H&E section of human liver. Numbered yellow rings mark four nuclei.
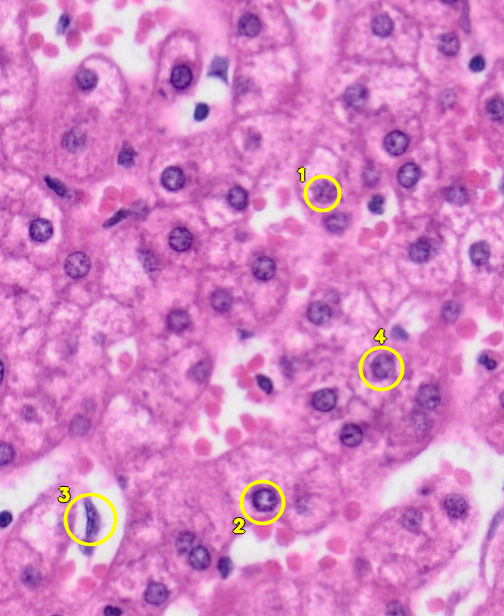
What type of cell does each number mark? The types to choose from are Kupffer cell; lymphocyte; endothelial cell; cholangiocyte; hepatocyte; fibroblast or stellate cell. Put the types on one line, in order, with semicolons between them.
hepatocyte; hepatocyte; Kupffer cell; hepatocyte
